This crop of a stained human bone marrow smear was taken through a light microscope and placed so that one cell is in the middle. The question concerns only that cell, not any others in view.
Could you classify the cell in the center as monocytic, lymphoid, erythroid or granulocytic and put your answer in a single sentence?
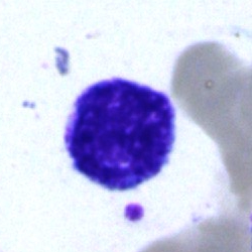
The cell centered in the crop is included in the lymphoid lineage.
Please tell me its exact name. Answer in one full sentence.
The crop centres on a single cell, and that cell is a lymphocyte.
